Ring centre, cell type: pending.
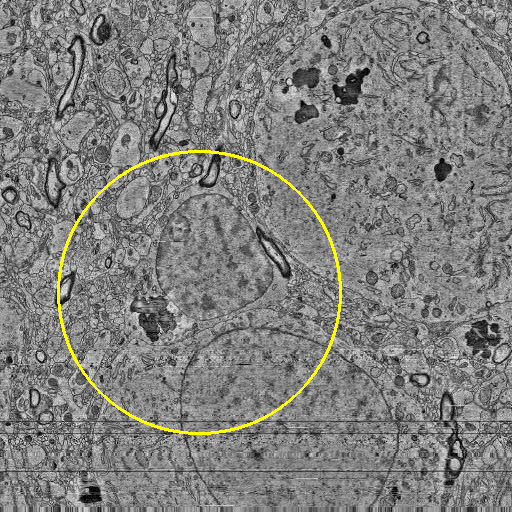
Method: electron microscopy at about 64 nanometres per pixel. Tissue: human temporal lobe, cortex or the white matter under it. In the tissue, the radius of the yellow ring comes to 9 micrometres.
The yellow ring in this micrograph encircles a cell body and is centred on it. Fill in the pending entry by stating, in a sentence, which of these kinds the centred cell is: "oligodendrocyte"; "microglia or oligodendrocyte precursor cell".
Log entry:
The centred cell is recorded as an oligodendrocyte.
